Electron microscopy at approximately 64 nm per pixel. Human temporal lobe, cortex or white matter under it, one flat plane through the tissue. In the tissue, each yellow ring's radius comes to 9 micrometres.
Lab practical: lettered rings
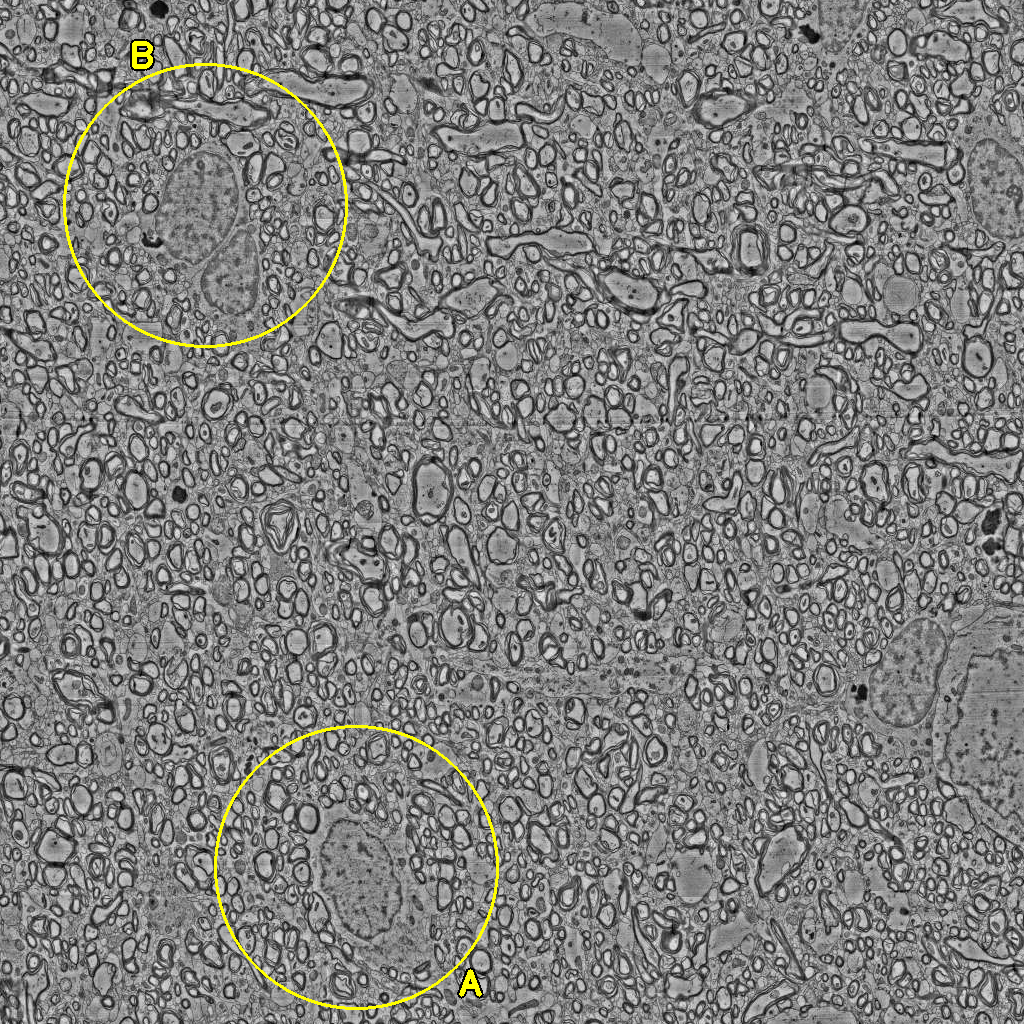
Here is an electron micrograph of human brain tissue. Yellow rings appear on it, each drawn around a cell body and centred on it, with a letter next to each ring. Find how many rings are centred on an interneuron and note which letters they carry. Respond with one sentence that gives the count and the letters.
None of the rings picks out an interneuron as its centre, so the count is zero.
